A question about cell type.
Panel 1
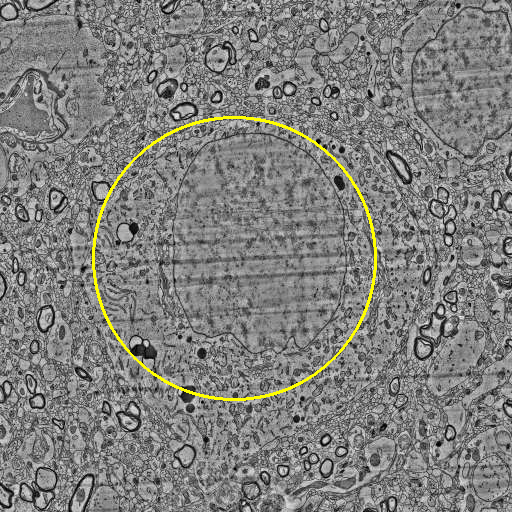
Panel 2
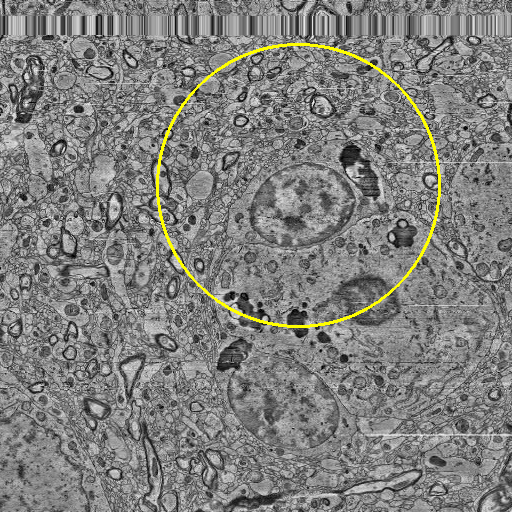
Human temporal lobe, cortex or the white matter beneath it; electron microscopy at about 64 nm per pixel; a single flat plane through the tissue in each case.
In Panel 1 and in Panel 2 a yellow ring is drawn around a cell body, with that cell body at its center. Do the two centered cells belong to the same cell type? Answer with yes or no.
no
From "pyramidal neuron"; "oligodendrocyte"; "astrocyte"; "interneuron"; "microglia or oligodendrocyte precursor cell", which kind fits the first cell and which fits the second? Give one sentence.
The cell marked in the first picture is a pyramidal neuron, and the one marked in the second is an oligodendrocyte.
